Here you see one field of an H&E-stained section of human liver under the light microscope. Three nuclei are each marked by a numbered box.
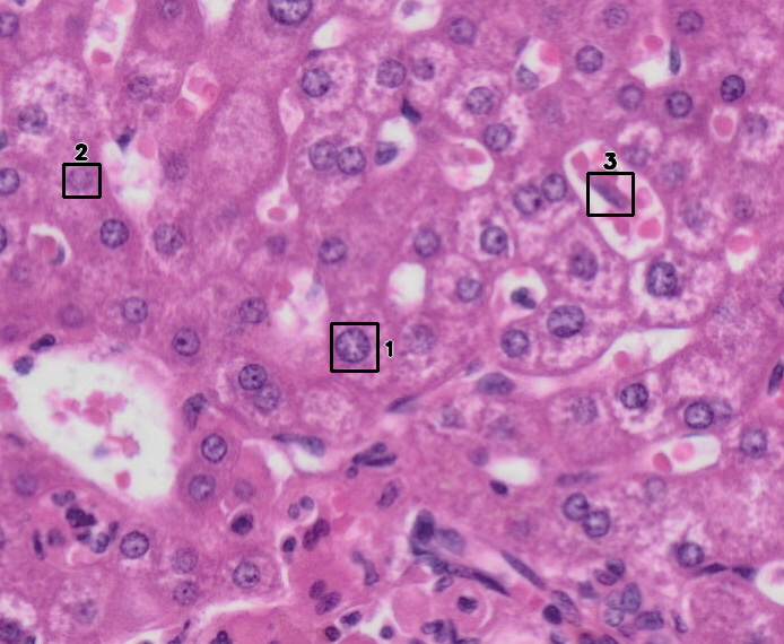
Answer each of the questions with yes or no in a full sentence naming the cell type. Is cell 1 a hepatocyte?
Yes, to put it simply, cell number 1 is a hepatocyte.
